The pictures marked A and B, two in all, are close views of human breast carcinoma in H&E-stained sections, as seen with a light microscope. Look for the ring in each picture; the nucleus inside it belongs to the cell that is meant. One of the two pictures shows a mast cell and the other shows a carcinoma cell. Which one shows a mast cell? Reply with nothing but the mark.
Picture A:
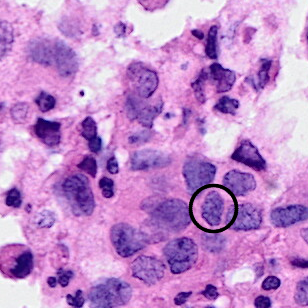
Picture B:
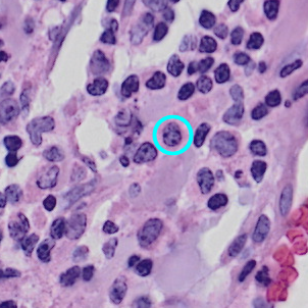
B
